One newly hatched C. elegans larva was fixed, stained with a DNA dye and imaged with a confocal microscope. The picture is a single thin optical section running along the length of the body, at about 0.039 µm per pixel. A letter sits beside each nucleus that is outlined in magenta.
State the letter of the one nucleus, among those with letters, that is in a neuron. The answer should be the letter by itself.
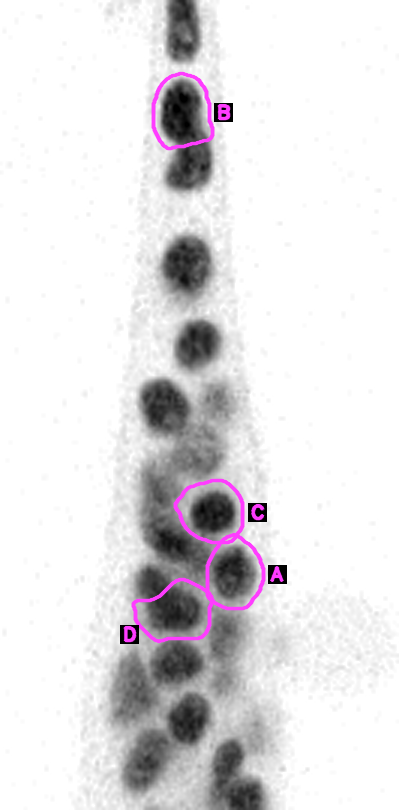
C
